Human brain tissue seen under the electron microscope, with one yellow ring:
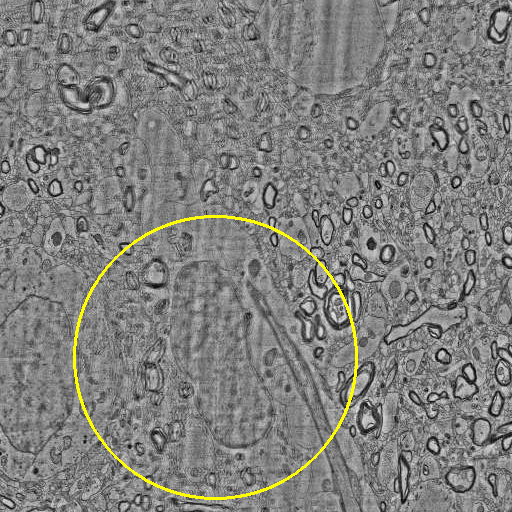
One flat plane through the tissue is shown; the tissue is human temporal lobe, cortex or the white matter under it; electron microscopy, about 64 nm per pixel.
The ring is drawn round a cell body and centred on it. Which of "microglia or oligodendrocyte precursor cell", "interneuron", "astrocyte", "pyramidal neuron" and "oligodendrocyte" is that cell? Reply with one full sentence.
The picture shows a microglial cell or oligodendrocyte precursor cell at the very centre of the yellow ring.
